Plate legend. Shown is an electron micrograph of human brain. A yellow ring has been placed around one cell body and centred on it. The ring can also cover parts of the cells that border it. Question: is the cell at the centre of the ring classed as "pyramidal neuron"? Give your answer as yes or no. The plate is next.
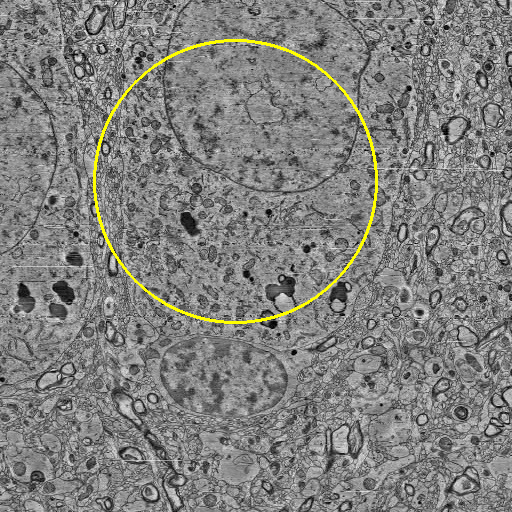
Yes, the ringed cell is of that kind.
